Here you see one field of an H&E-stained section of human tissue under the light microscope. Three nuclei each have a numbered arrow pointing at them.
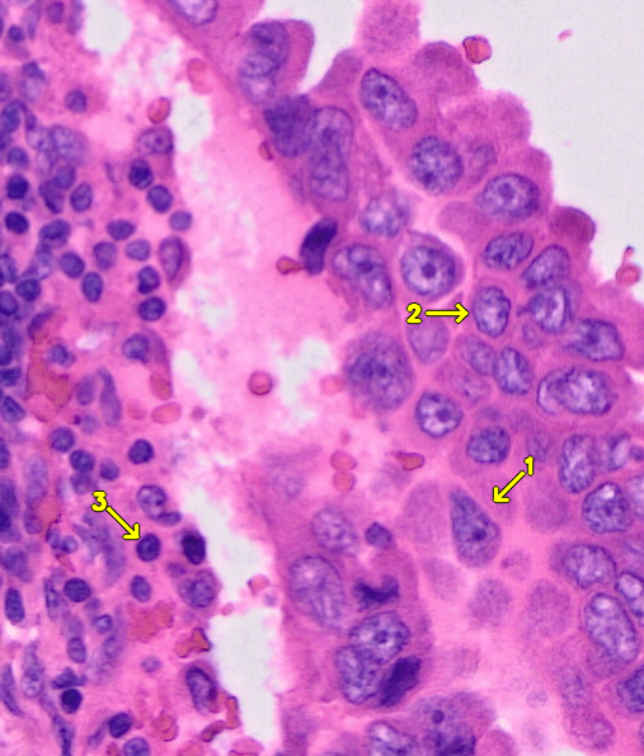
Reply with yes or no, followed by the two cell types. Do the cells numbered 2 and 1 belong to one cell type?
Yes, both are carcinoma cells.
